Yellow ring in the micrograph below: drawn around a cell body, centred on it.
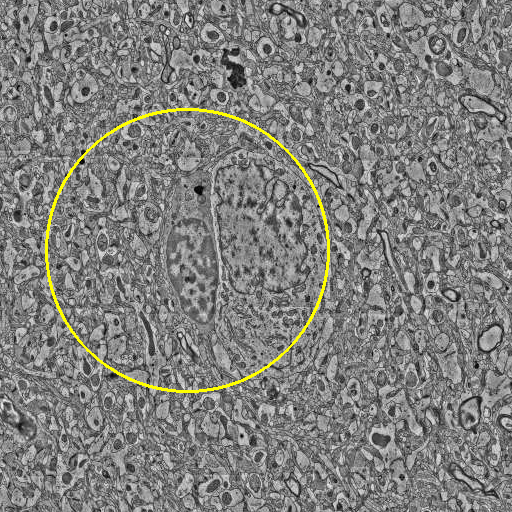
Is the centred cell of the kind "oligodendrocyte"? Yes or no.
yes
